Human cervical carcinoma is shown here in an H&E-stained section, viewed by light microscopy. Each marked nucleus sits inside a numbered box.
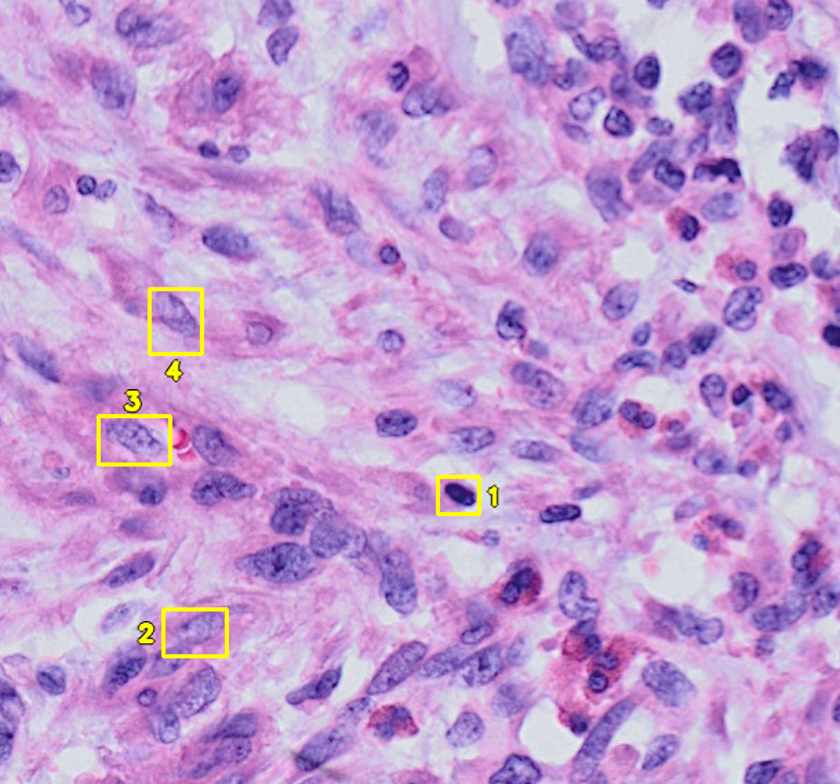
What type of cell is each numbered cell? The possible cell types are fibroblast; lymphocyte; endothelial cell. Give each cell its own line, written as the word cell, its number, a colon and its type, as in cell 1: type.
cell 1: lymphocyte
cell 2: endothelial cell
cell 3: endothelial cell
cell 4: fibroblast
